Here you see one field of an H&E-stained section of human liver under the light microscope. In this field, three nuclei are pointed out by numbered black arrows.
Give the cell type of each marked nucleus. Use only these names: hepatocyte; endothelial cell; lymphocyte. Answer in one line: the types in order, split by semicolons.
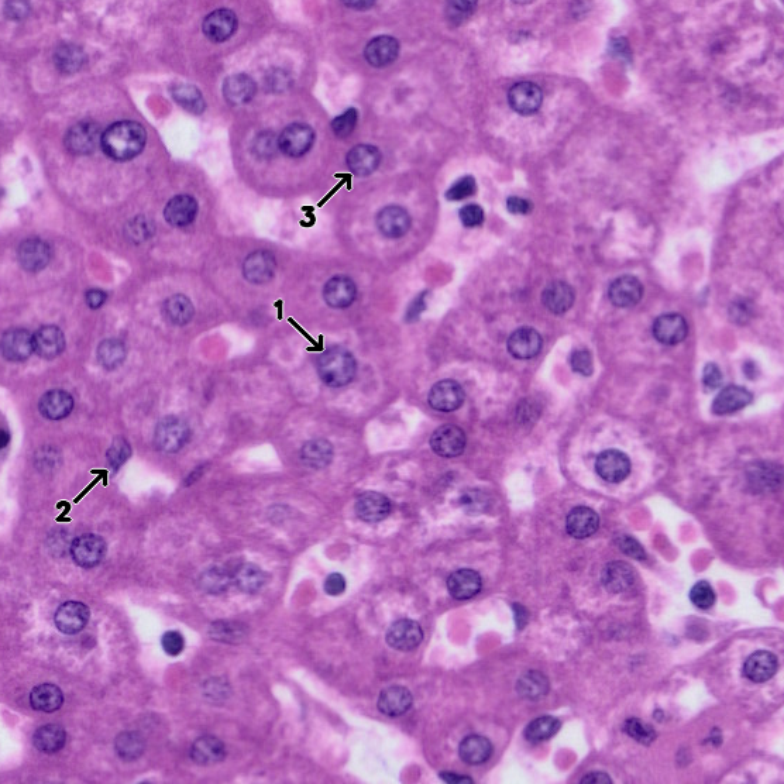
hepatocyte; endothelial cell; hepatocyte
